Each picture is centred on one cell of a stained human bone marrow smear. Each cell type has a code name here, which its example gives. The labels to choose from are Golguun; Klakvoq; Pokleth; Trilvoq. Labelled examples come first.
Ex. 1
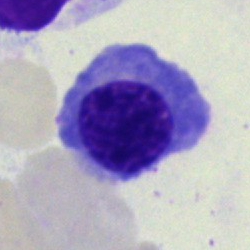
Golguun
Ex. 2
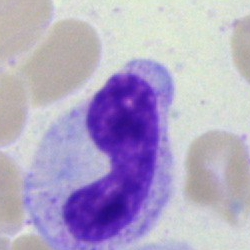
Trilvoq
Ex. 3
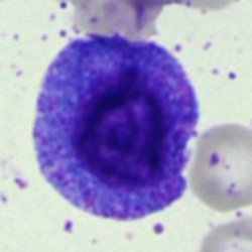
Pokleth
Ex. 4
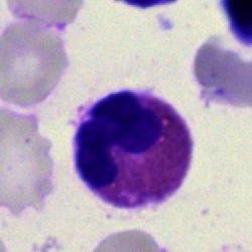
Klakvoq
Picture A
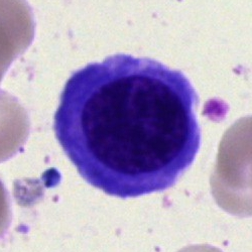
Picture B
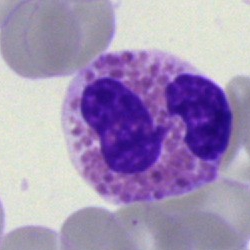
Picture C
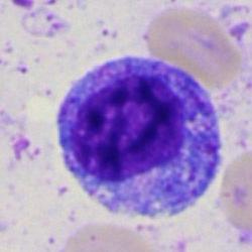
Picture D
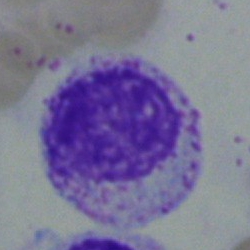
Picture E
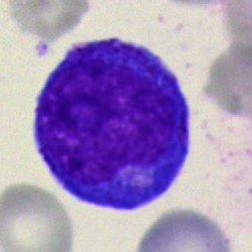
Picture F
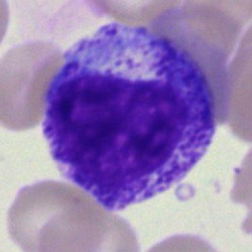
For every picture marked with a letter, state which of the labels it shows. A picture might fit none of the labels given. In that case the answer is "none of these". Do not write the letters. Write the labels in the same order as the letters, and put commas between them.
Golguun, Klakvoq, Pokleth, none of these, Pokleth, Pokleth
